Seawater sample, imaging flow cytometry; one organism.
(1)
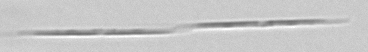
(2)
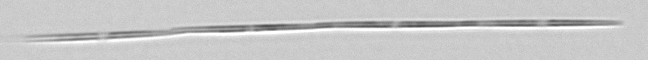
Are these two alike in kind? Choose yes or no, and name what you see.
Yes. Pseudo-nitzschia.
